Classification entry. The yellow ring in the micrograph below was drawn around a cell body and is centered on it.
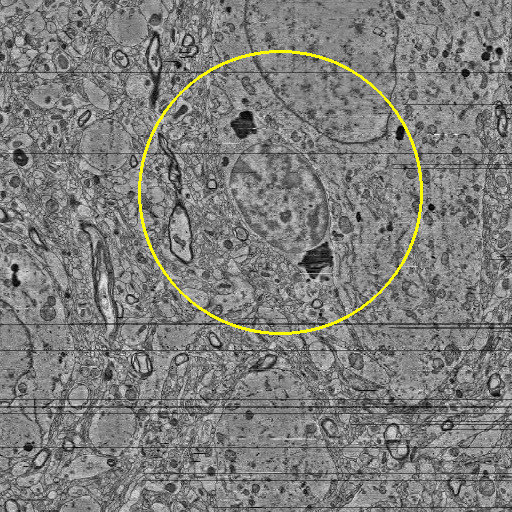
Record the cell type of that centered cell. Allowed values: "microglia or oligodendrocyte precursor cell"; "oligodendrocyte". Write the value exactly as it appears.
oligodendrocyte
